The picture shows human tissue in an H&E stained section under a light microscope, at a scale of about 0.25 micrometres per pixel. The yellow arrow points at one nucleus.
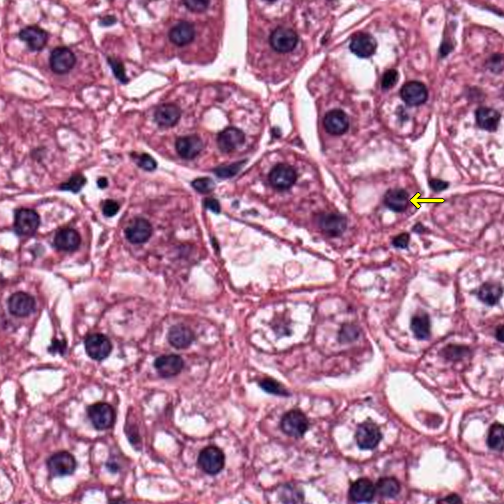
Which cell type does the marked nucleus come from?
adrenal cortical cell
